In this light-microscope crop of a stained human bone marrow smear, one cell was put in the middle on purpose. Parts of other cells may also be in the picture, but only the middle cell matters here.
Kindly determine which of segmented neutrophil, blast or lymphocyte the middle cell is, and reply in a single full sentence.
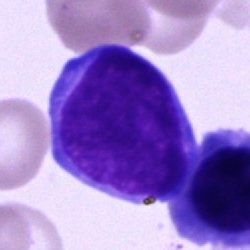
The cell of interest, located centrally, is a blast.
